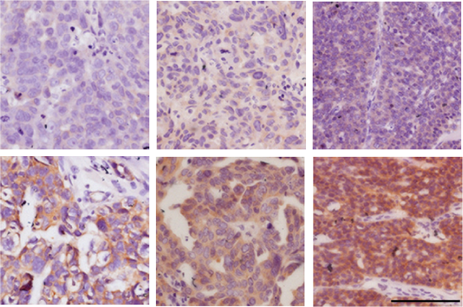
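Six fields of tumor tissue made of sheets of densely packed cells with large, closely crowded, dark nuclei, separated here and there by thin strands of paler stroma. In the upper three fields the tissue is almost entirely blue-purple, with at most faint brown tint. Stromal strands between the cell sheets stain weakly.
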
